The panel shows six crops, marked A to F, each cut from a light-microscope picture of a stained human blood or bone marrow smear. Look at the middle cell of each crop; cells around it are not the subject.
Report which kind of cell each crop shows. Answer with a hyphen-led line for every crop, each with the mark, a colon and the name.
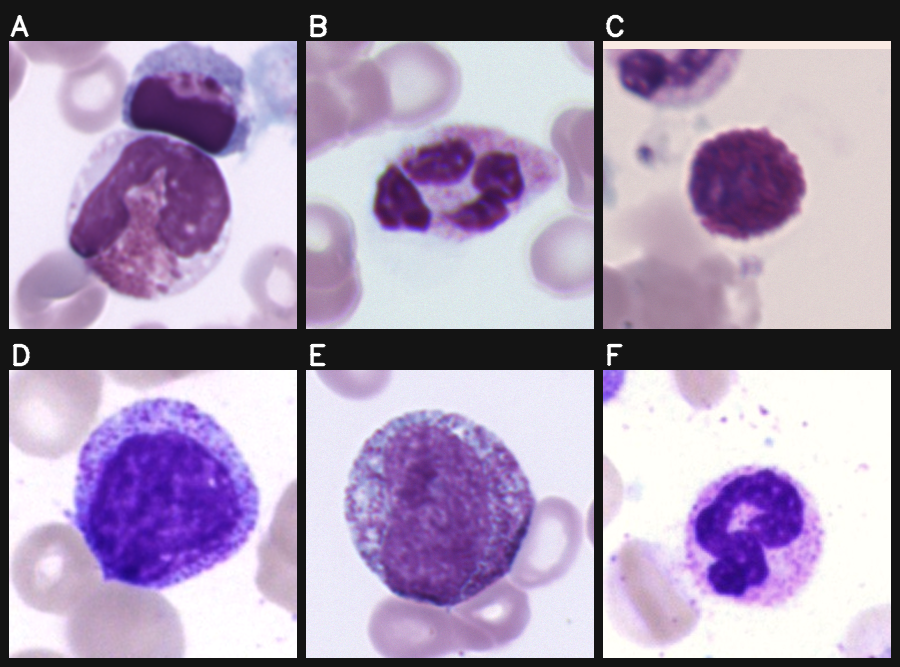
- A: eosinophil
- B: segmented neutrophil
- C: eosinophil
- D: myelocyte
- E: myelocyte
- F: segmented neutrophil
